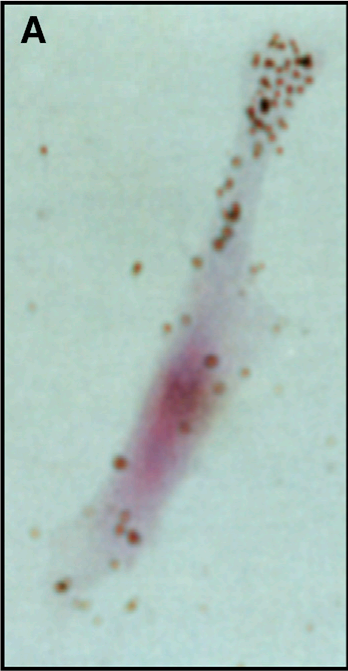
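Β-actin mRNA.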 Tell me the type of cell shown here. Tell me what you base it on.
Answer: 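Fibroblasts. A single spindle-shaped, elongated cell on a flat substrate.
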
